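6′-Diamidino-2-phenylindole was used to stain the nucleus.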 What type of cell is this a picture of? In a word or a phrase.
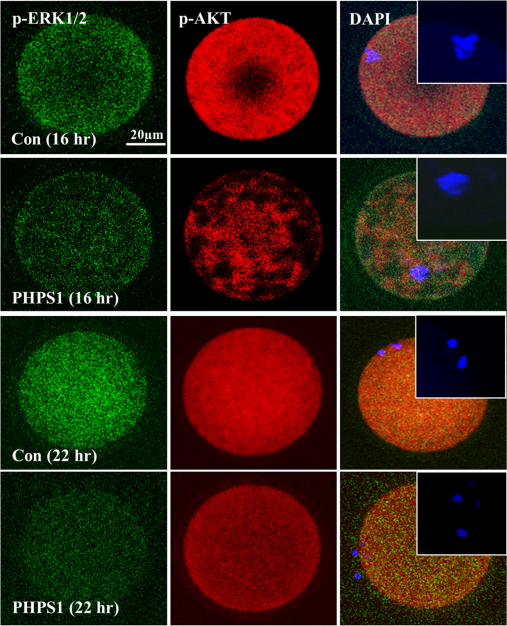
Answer: oocytes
